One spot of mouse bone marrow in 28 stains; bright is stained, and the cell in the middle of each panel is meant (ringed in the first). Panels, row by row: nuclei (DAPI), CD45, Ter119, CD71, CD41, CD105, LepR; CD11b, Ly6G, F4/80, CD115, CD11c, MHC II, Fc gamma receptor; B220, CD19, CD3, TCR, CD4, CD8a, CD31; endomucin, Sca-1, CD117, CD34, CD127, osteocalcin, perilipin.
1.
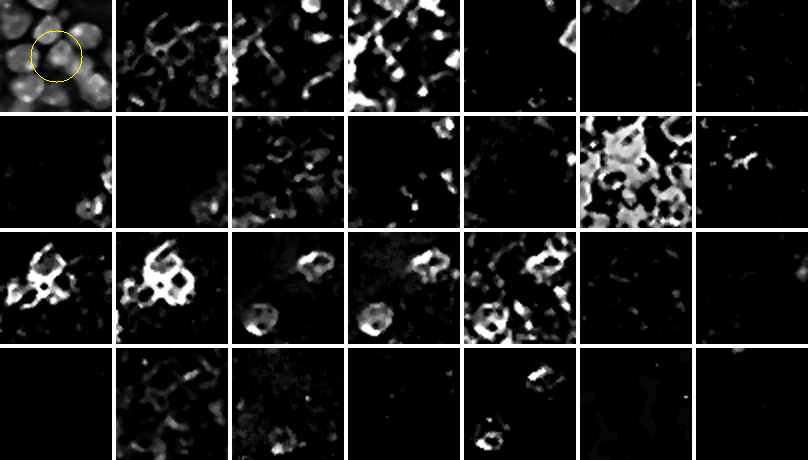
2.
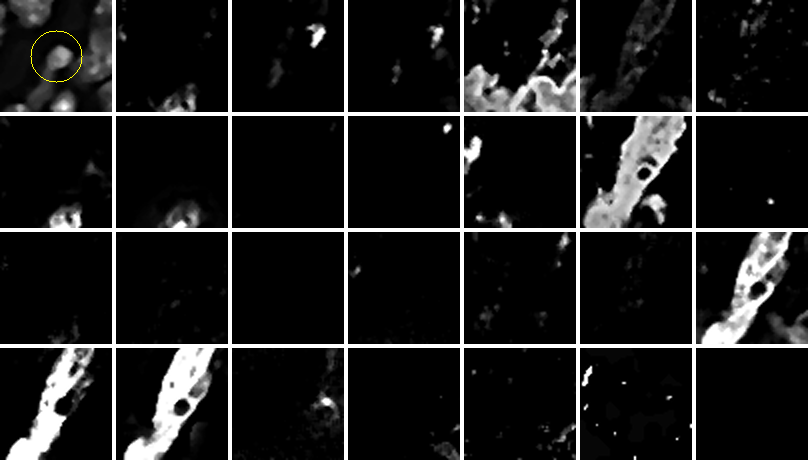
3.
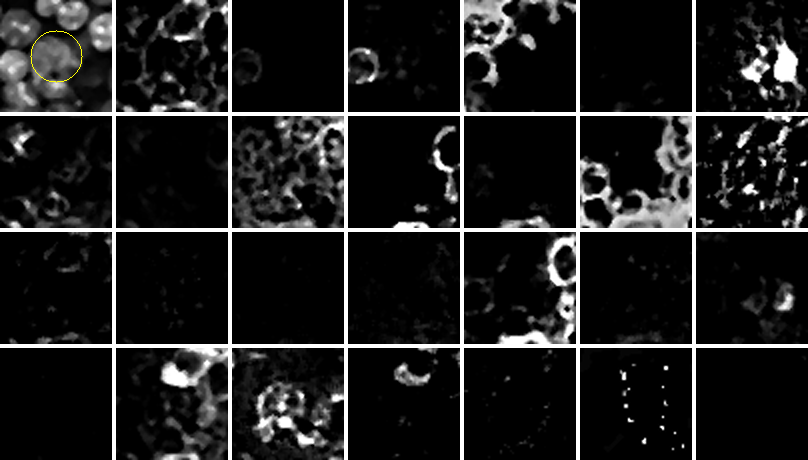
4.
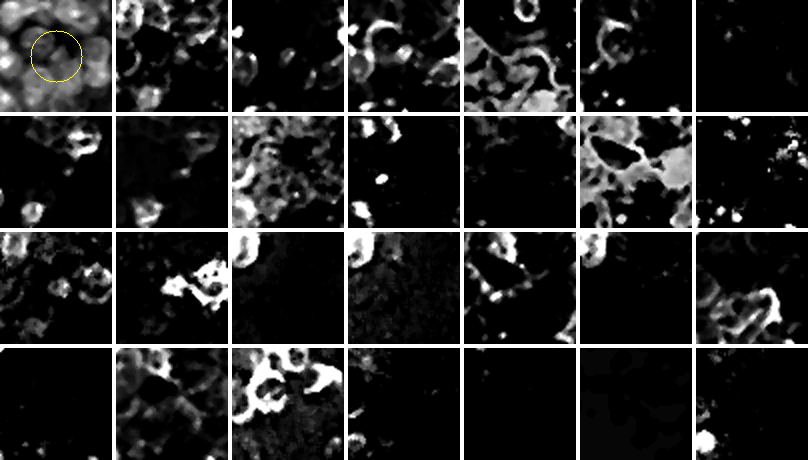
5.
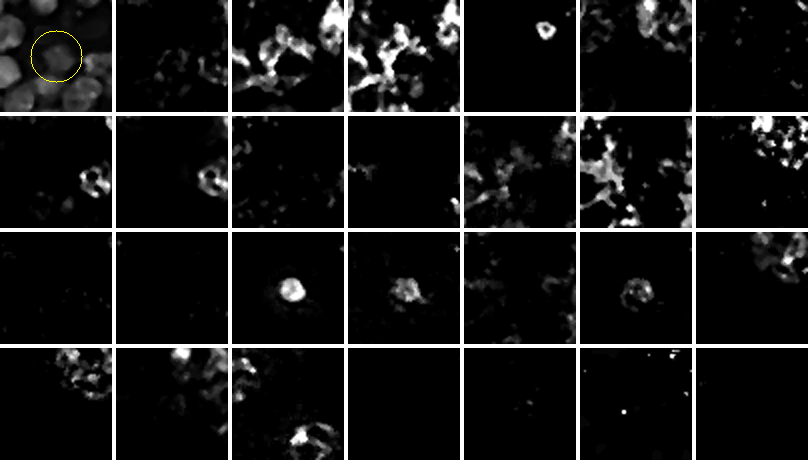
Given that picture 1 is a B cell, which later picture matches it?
4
